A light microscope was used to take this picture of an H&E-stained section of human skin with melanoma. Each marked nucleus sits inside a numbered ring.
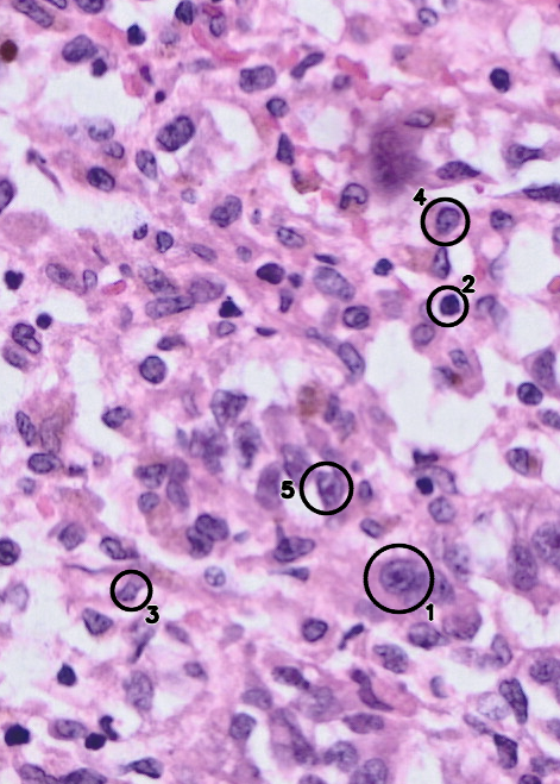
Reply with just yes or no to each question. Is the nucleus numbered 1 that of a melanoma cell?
yes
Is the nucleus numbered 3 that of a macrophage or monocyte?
yes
